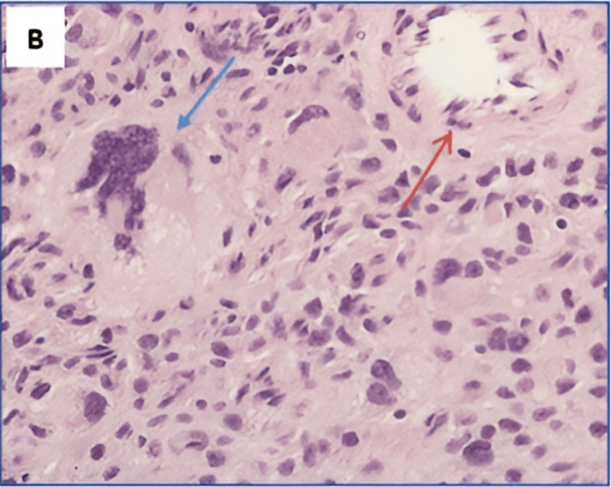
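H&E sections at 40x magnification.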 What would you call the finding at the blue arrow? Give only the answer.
bizzare cells with irregular nuclei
